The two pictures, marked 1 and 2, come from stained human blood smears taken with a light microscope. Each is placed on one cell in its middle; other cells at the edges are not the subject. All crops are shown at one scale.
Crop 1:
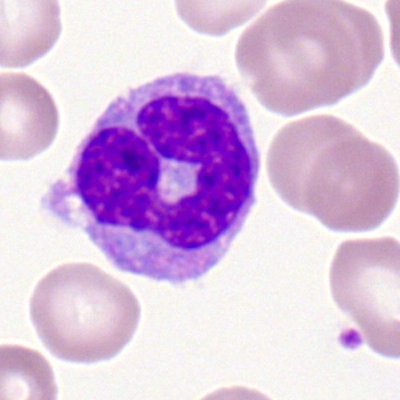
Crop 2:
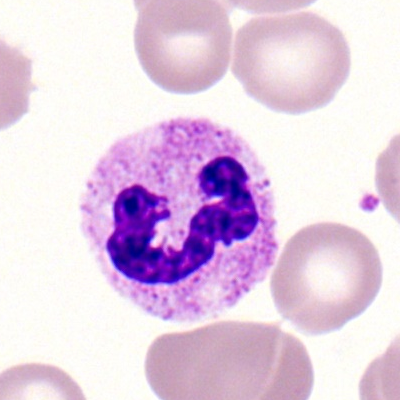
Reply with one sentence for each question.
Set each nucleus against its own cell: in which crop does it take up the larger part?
It is the cell in crop 1 that is filled more by its nucleus.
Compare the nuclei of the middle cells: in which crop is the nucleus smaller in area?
It is the nucleus in crop 2; the one in crop 1 has about 2 times its area.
